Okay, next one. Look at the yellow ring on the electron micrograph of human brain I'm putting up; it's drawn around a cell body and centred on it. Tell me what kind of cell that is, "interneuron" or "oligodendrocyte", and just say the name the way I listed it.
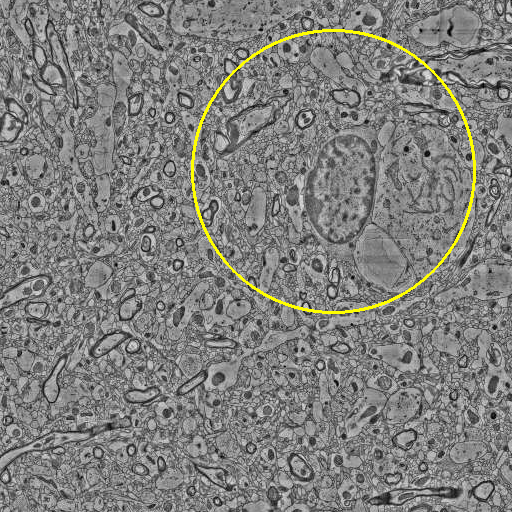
oligodendrocyte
